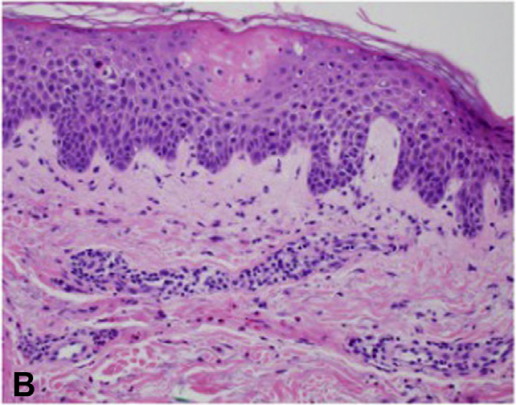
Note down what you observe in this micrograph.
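Skin with a thickened epidermis whose basophilic keratinocytes form elongated rete ridges reaching into the dermis. A thin cornified layer lies on the surface. In the superficial dermis, bands of small dark inflammatory cells run alongside horizontally oriented vessels. The papillary dermis between the rete ridges is pale and loosely textured.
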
